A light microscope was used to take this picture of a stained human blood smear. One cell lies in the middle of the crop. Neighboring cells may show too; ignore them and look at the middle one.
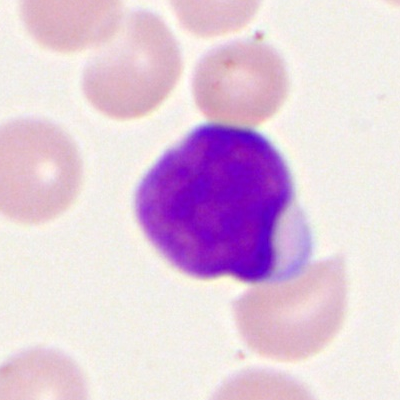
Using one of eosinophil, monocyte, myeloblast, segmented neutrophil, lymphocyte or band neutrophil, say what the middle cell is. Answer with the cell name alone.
myeloblast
